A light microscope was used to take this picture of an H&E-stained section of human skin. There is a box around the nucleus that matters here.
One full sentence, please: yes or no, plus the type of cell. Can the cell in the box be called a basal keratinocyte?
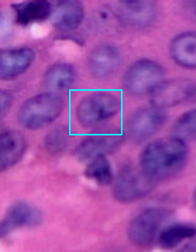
Yes, when classified by type, the cell in the box is a basal keratinocyte.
